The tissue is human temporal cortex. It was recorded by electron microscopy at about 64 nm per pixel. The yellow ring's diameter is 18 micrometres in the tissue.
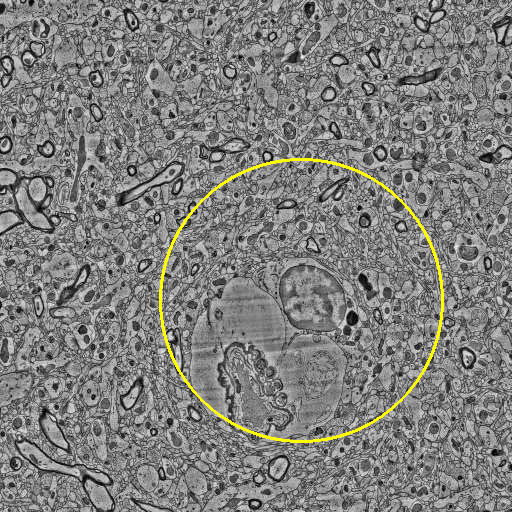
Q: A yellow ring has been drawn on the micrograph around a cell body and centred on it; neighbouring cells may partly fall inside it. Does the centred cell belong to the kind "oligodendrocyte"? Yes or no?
No, it belongs to another kind.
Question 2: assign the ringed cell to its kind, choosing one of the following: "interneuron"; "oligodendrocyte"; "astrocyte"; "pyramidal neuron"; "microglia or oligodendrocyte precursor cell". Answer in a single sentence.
Instead, what sits at the centre of the ring is a microglial cell or oligodendrocyte precursor cell.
